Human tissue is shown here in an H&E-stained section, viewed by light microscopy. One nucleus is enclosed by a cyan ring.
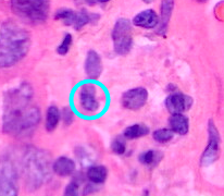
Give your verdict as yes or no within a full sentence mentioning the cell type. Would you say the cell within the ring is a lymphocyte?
Yes, a lymphocyte is the identity of the cell within the ring in this section.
